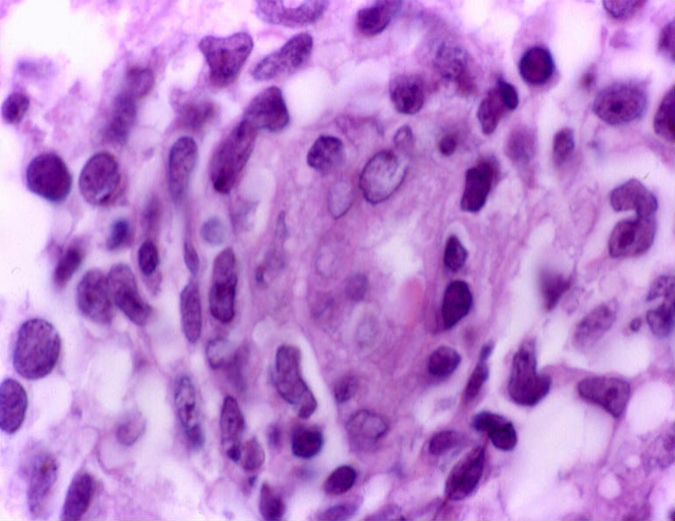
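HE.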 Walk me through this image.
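A small blood vessel in the center, with a pink red blood cell in its narrow lumen, is lined by plump endothelial cells with large oval pale nuclei that bulge into the lumen. Around it lies a mixed population of lymphoid cells of varying size, many with dark, irregular, folded or notched nuclei, crowded against the vessel wall in a loose pale background.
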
